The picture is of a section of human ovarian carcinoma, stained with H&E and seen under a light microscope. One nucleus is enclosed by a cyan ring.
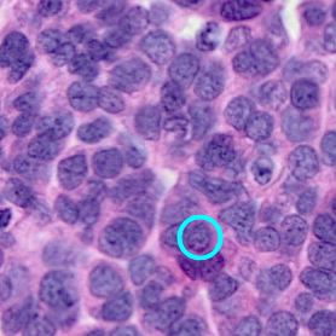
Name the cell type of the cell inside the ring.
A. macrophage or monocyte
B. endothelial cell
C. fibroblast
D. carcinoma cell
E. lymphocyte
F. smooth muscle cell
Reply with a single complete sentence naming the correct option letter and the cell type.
Option D is correct here; the cell inside the ring is a carcinoma cell.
